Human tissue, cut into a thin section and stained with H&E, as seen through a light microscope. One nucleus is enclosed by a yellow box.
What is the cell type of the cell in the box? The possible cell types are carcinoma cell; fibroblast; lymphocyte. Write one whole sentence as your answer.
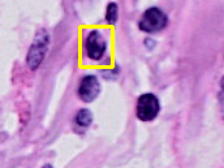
As classified here, the cell in the box is a lymphocyte.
